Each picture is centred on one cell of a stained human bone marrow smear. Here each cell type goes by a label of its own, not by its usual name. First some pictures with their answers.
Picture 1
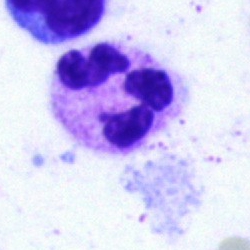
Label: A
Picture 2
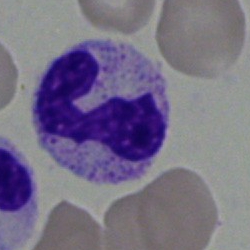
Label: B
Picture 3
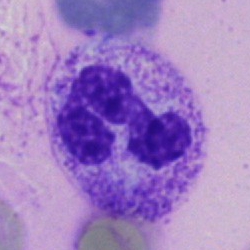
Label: A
